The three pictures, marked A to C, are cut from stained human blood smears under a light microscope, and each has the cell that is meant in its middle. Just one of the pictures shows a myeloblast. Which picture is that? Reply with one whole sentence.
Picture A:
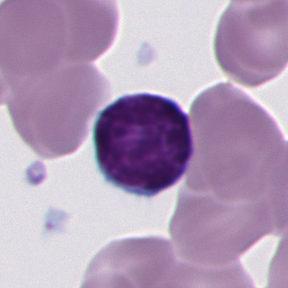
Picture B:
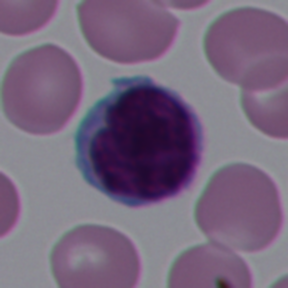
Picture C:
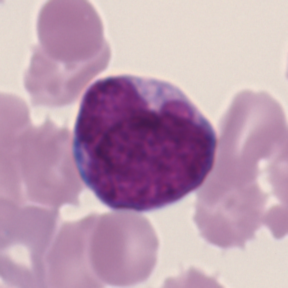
Picture C is the one that shows the myeloblast.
